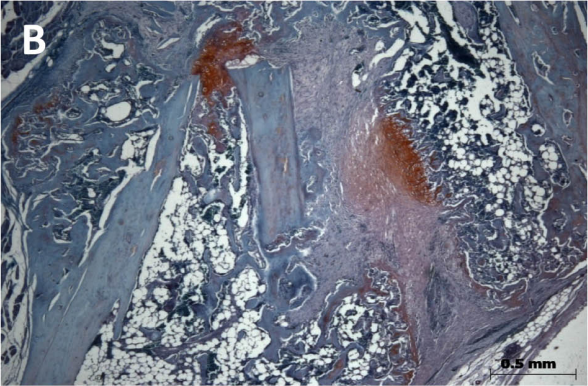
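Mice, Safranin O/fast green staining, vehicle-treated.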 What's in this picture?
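Break in a long bone, with fragments of blue-green cortical bone lying in loose tissue. Much of the field is filled with marrow holding many empty round fat spaces. A pale, fibrous zone lies beside the bone fragments, and patches of orange-red stain lie at the ends of the fragments and within this zone.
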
